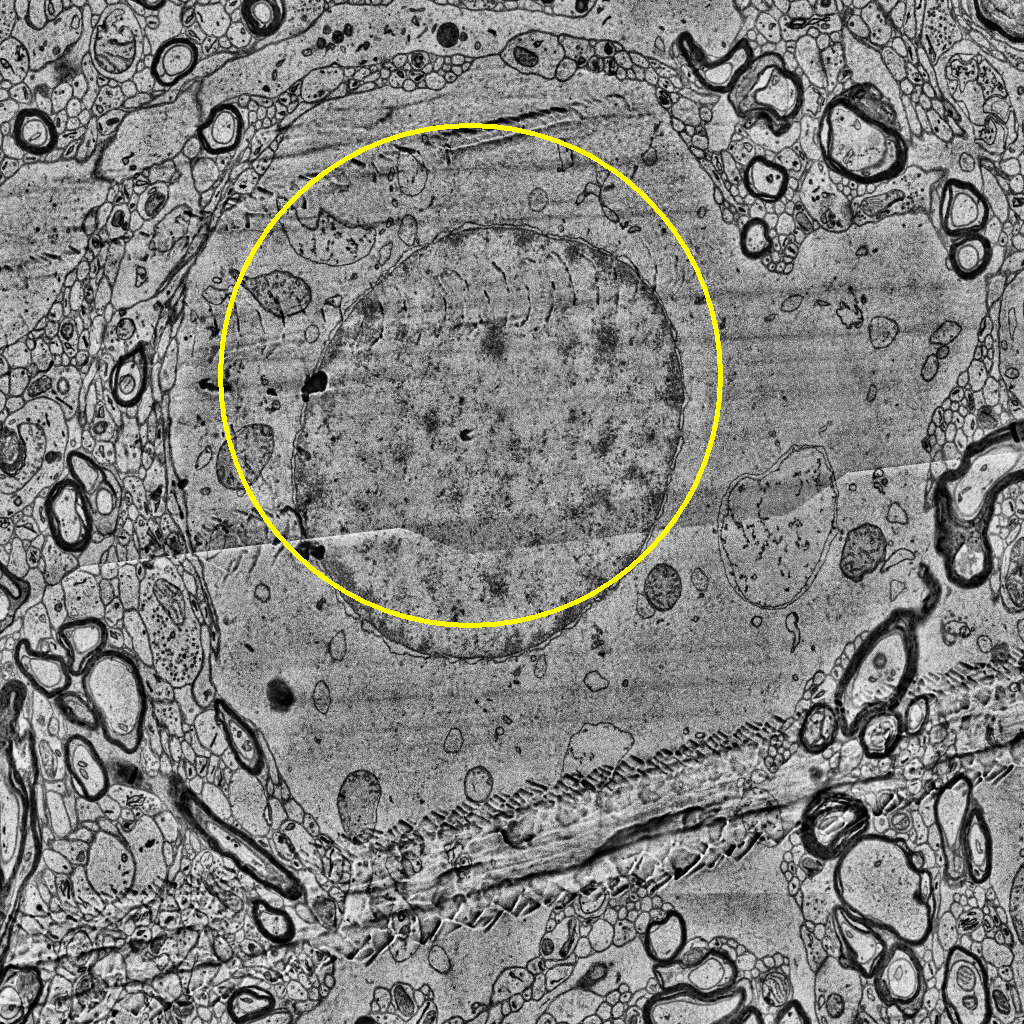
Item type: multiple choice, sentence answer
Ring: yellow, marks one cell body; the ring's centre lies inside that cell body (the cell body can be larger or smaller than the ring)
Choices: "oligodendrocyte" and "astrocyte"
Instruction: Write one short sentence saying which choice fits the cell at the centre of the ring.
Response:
The centre of this ring lies on an astrocyte.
